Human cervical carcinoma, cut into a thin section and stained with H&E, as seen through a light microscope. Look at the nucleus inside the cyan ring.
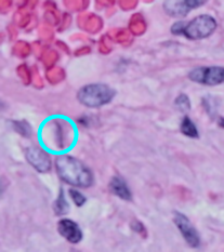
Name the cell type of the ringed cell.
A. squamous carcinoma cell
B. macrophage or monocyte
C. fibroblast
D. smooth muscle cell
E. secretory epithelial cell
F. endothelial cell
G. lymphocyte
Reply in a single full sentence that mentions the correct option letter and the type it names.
Option F is the correct one: the ringed cell is an endothelial cell.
